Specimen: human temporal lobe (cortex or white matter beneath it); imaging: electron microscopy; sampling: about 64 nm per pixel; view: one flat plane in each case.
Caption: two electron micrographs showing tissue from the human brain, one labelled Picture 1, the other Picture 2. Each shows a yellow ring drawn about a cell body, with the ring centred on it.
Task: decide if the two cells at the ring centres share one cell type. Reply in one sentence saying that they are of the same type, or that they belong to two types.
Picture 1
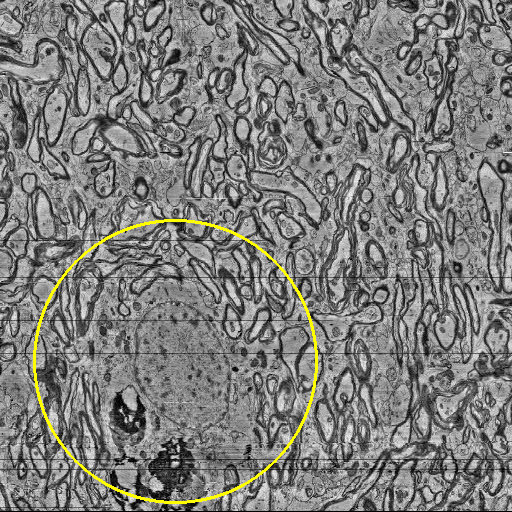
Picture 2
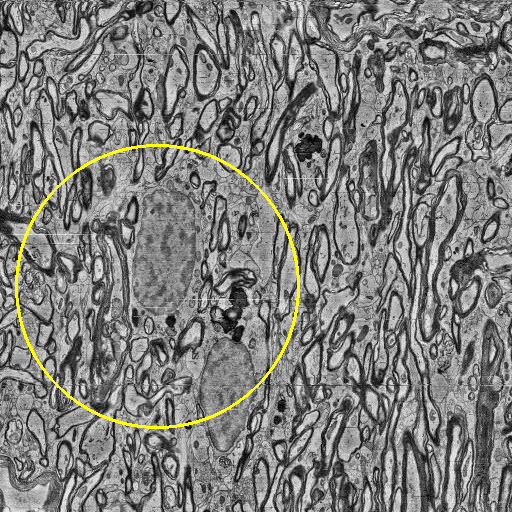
The cells at the ring centres in Picture 1 and Picture 2 belong to two types.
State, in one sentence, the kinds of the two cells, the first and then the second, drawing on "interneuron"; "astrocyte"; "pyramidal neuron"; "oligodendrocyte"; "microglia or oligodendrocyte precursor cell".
The ring in the second picture is centred on an oligodendrocyte, the ring in the first on an astrocyte.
